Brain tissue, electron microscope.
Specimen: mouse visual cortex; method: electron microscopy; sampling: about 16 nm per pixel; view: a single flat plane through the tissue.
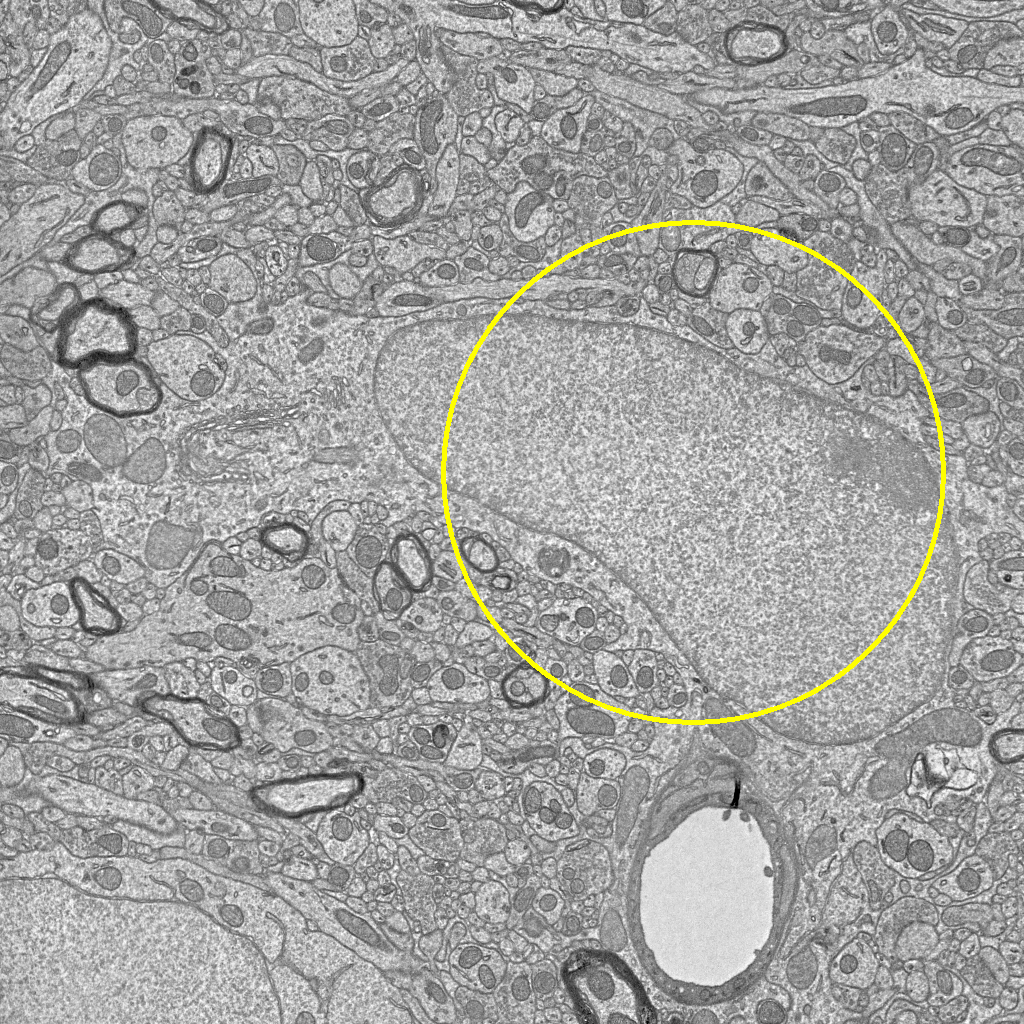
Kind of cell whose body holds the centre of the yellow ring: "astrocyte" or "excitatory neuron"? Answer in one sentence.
The ring's centre falls on an astrocyte.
